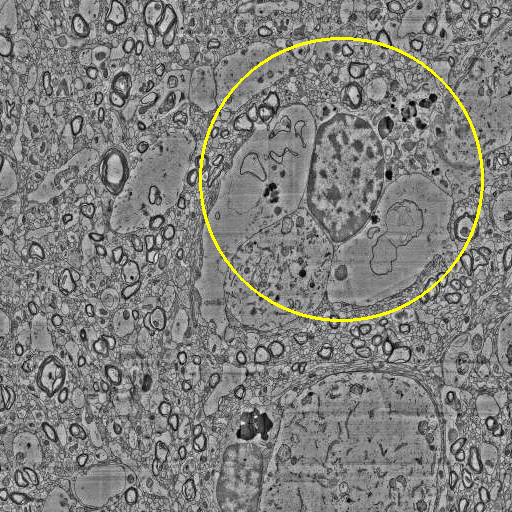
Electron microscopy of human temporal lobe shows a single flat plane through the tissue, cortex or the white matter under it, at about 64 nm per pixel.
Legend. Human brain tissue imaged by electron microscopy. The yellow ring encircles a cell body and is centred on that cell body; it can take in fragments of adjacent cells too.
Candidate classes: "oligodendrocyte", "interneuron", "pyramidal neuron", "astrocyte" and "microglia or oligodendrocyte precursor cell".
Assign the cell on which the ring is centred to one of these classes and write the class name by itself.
microglia or oligodendrocyte precursor cell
